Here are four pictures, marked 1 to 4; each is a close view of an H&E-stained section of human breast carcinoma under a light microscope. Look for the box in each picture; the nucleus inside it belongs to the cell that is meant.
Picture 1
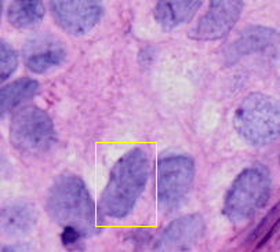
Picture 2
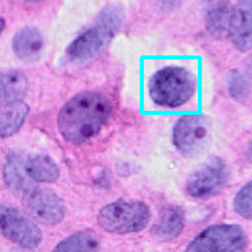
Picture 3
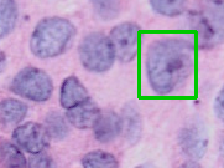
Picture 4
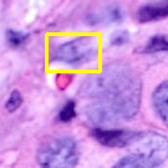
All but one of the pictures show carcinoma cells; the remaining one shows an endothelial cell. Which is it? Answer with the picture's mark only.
4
